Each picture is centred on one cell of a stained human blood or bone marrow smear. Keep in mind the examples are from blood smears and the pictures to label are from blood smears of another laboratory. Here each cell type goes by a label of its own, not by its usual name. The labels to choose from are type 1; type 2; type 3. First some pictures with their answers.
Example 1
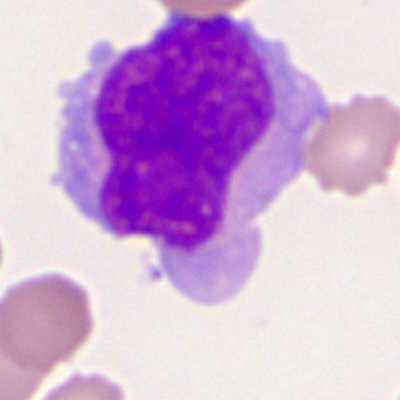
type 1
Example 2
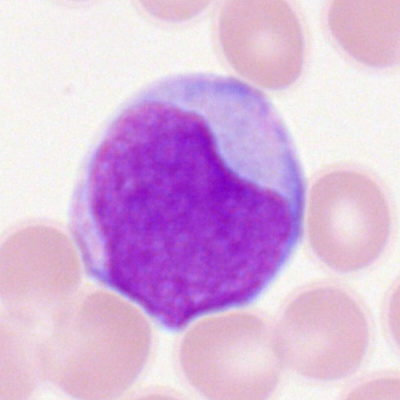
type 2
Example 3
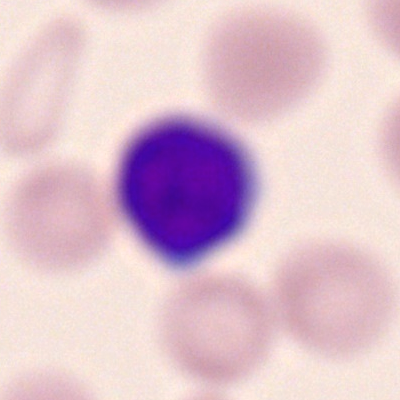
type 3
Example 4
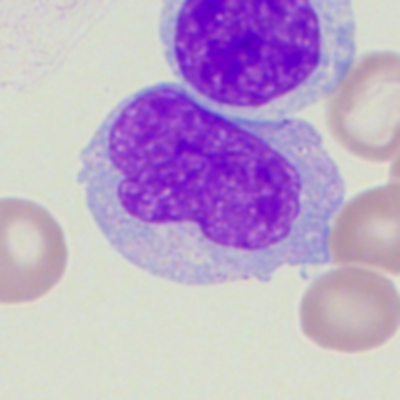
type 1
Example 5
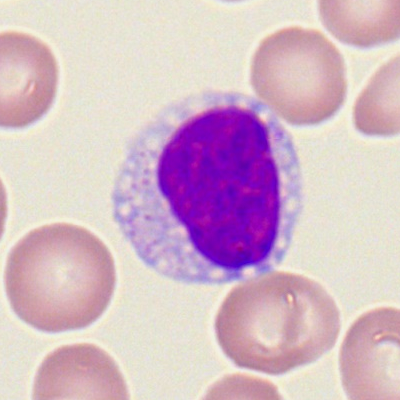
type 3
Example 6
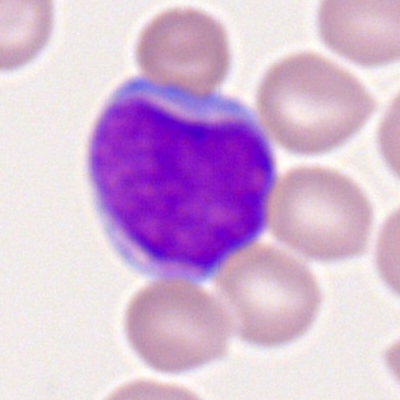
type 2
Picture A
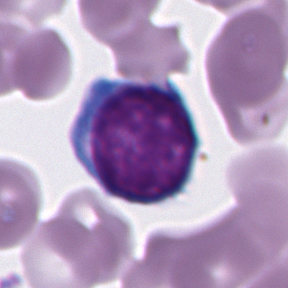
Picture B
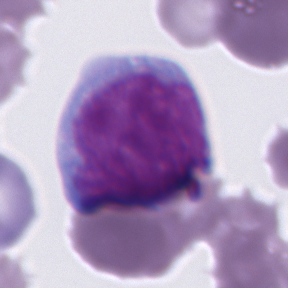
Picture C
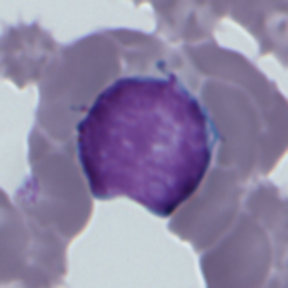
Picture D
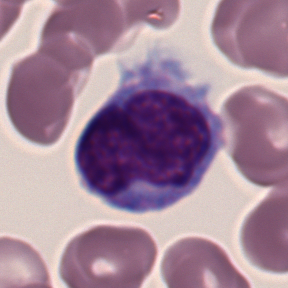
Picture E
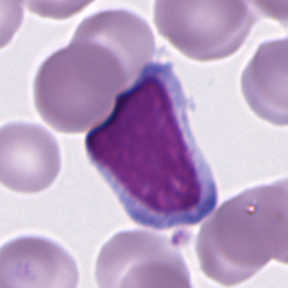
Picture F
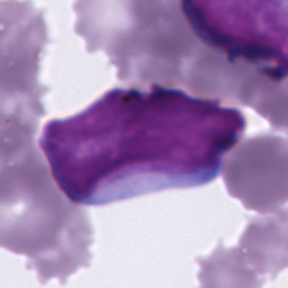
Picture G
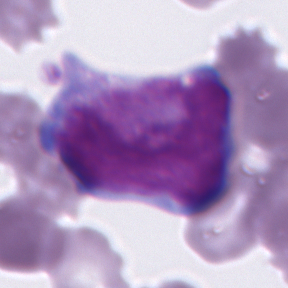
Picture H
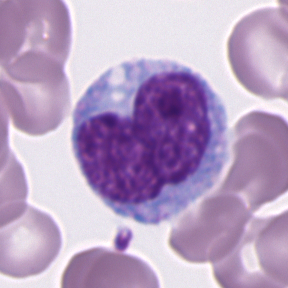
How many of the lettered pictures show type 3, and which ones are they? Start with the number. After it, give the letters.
3, namely A, C, E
